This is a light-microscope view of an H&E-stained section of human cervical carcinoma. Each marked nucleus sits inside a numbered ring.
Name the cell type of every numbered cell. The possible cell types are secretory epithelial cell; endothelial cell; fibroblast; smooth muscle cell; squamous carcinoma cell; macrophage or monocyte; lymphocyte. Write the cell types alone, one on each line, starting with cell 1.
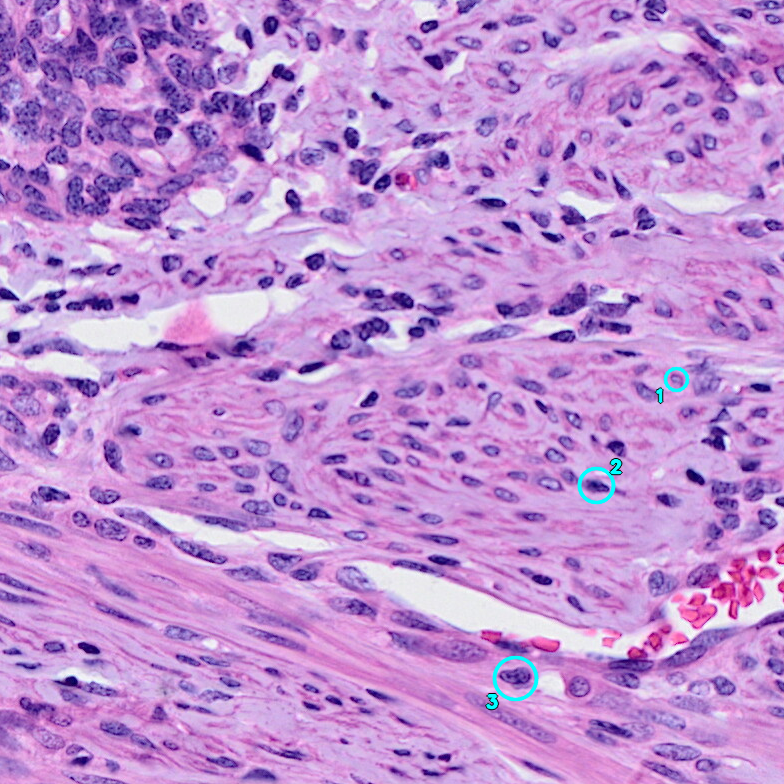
smooth muscle cell
lymphocyte
lymphocyte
